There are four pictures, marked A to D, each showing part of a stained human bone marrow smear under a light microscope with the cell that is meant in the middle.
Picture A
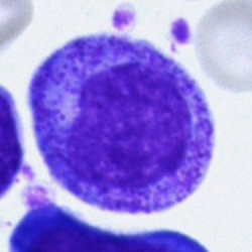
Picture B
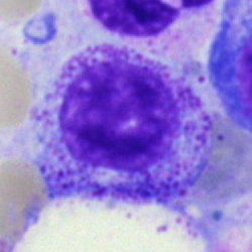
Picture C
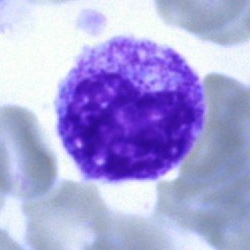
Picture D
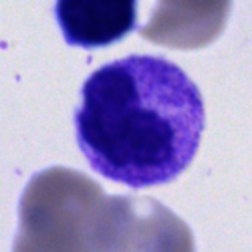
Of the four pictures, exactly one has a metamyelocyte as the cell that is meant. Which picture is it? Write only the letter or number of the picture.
D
